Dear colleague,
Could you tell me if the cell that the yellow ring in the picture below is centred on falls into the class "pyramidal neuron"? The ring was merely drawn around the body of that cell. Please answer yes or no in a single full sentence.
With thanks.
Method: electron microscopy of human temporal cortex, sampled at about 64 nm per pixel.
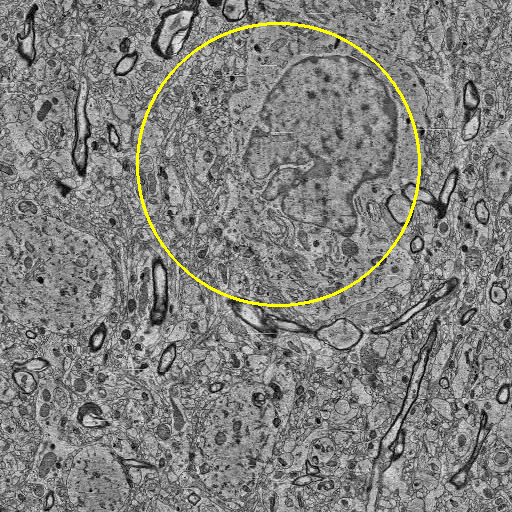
No, the cell on which the ring in your picture is centred falls into a different class.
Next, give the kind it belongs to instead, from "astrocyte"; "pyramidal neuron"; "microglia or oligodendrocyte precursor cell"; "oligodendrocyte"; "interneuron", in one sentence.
The cell shown in the ring is a microglial cell or oligodendrocyte precursor cell.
